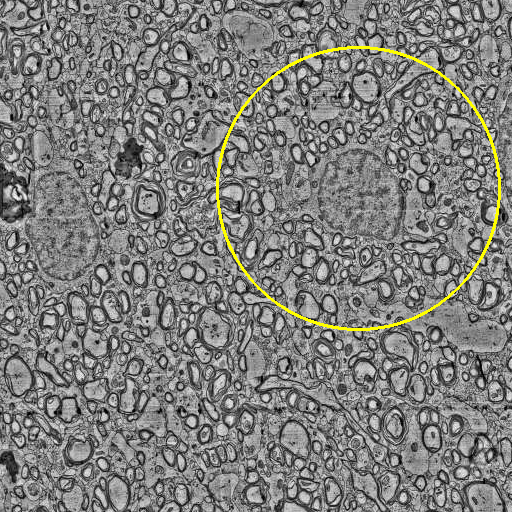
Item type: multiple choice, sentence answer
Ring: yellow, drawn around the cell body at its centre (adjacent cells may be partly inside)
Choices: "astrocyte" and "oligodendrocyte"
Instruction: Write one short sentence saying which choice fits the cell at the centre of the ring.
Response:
This ring is drawn around an oligodendrocyte.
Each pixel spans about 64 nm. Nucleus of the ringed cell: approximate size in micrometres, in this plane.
About 6 by 5 micrometres in this plane.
